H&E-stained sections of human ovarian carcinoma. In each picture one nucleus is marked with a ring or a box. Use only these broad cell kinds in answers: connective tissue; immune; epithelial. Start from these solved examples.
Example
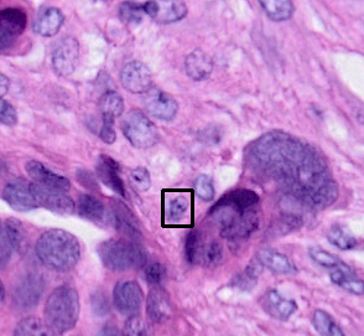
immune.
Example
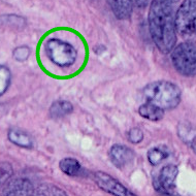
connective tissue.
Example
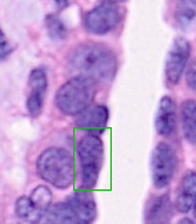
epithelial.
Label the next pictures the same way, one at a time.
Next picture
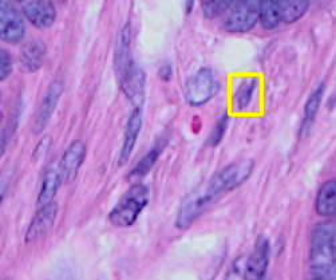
connective tissue.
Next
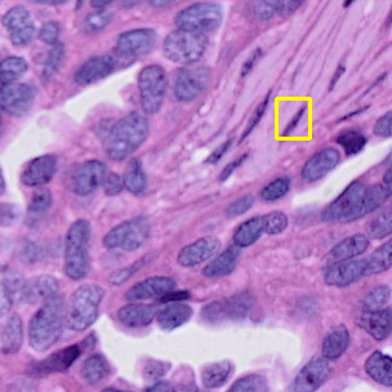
connective tissue.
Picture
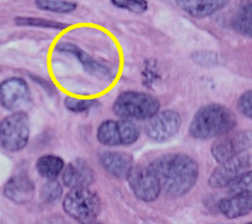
connective tissue.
